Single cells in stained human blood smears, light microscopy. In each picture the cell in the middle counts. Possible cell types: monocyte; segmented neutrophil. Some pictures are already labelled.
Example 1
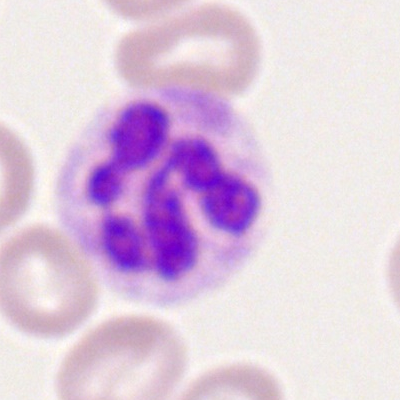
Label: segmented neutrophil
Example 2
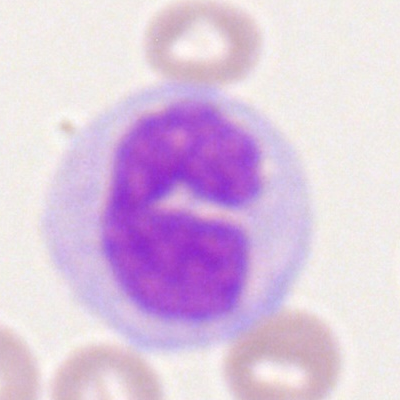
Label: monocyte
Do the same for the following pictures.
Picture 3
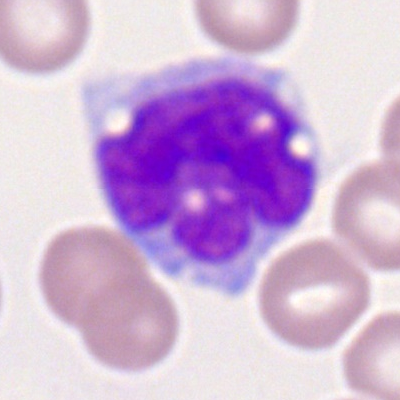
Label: monocyte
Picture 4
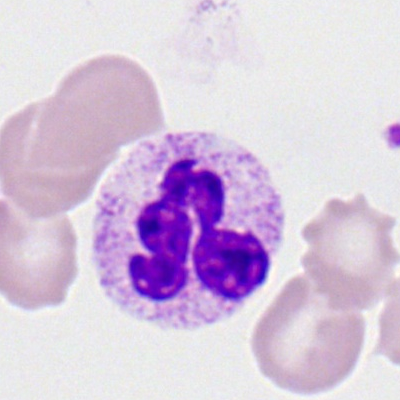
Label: segmented neutrophil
